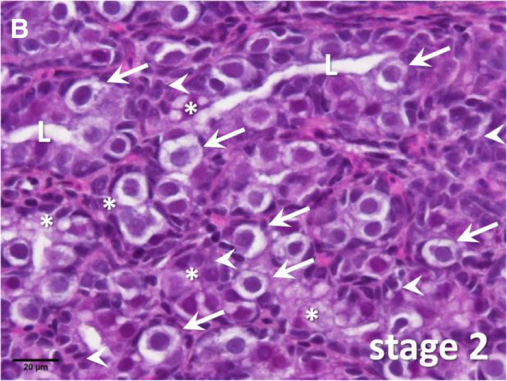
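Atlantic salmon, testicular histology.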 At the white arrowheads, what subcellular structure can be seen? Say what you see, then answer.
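Sertoli cell nuclei. Small dark elongated nuclei. They lie among larger pale round cells.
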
